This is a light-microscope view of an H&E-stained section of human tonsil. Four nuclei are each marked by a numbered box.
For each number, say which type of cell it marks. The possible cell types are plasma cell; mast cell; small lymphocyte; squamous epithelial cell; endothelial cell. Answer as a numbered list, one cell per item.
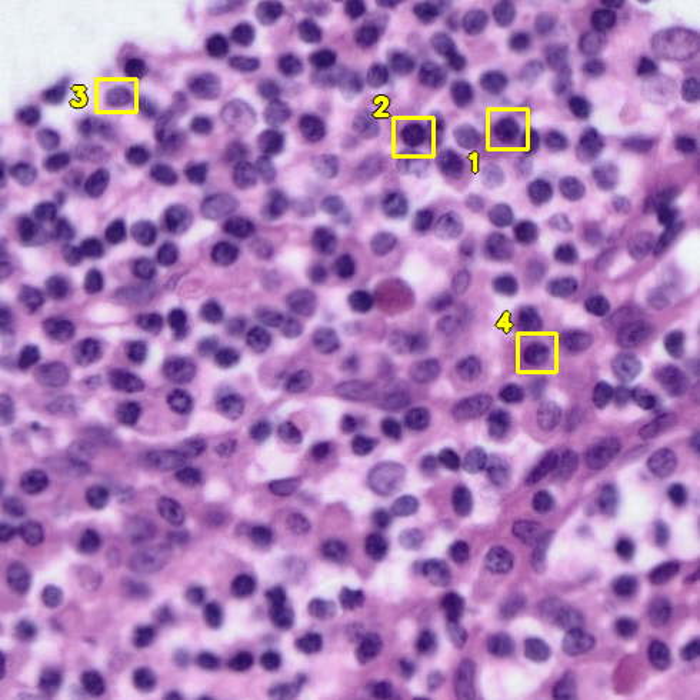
1. plasma cell
2. plasma cell
3. small lymphocyte
4. plasma cell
